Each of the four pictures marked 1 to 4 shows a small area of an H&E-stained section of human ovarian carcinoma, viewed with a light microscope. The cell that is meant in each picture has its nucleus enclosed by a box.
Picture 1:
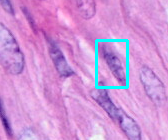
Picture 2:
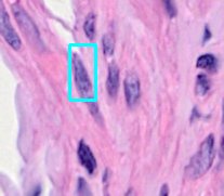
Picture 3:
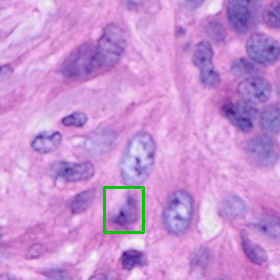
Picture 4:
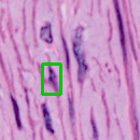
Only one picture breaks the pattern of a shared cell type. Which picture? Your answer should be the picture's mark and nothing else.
2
